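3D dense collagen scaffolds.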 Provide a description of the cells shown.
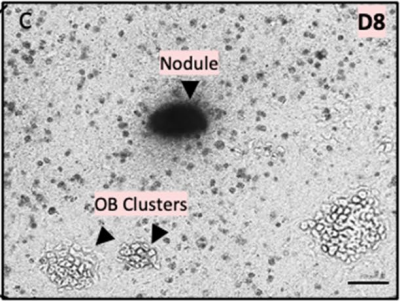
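The nodule is a compact, oval, almost black mass with a hazy, diffuse border. Below the nodule lie several small groups of closely packed, rounded cells with pale interiors and distinct outlines, forming loose patches rather than solid masses.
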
